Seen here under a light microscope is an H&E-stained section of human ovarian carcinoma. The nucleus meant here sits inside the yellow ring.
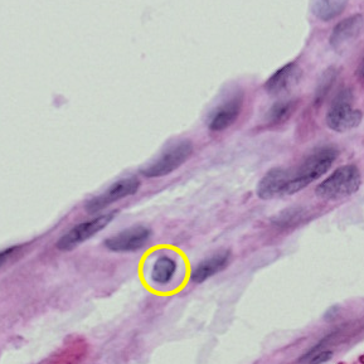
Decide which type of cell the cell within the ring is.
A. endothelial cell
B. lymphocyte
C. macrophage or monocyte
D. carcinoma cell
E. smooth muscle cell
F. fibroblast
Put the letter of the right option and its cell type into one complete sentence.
Best answer: option B, with the cell within the ring being a lymphocyte.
